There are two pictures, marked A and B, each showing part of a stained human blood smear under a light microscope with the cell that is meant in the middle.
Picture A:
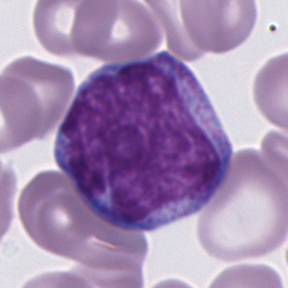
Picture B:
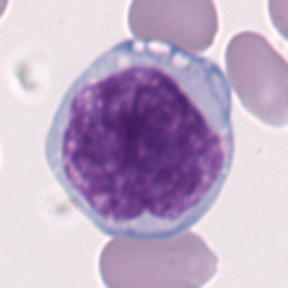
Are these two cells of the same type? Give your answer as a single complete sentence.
No, picture A shows a promyelocyte and picture B shows a myeloblast.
